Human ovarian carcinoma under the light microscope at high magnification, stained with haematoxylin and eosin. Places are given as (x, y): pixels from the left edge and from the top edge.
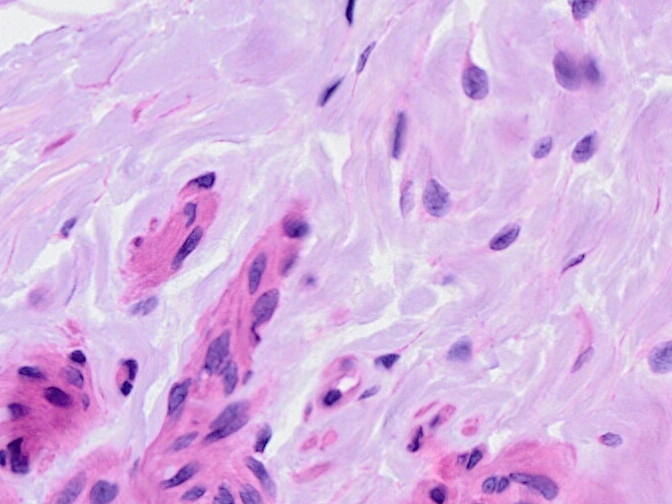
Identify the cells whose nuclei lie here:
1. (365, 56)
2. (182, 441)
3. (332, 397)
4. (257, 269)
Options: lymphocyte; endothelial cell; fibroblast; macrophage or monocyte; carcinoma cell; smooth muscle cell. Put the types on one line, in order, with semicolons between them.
fibroblast; smooth muscle cell; endothelial cell; smooth muscle cell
